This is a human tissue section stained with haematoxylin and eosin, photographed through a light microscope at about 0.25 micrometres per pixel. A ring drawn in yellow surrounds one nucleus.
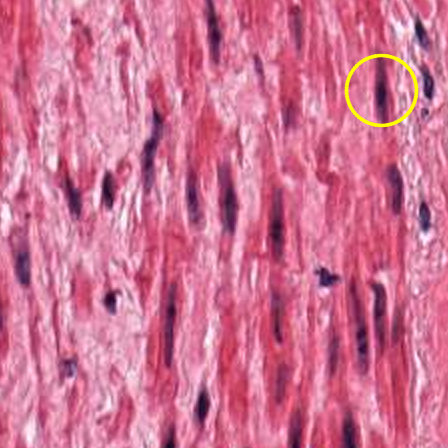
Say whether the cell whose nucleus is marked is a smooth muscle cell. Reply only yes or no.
yes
